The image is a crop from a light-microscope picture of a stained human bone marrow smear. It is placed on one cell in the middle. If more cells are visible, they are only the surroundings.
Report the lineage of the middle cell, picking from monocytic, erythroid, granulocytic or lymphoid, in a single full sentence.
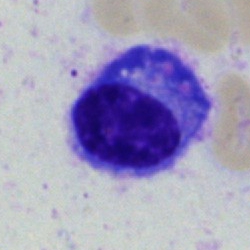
The cell in the middle of the crop is considered part of the lymphoid lineage.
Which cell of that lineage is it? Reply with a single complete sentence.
At the middle of the frame sits a plasma cell.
